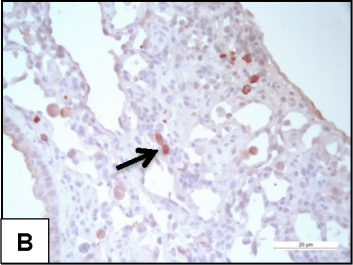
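This is lung tissue where the space between airspaces is crowded with interstitial cells, several of them stained brown. The brown cells are small and rounded, scattered singly or in small groups within the densely cellular tissue. Toward the upper right the tissue is especially dense, with several brown cells lying close together.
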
